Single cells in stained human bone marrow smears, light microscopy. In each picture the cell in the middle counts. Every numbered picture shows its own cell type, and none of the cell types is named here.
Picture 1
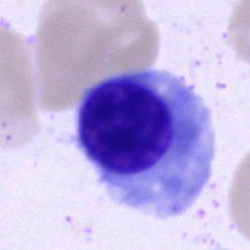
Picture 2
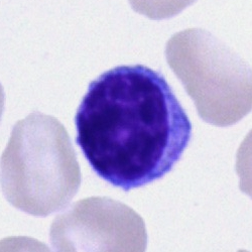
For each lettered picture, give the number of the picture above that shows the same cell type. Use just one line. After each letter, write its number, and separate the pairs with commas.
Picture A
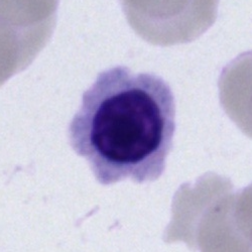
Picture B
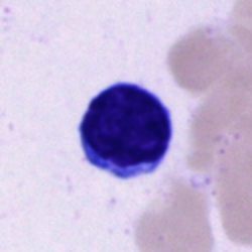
A 1, B 2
